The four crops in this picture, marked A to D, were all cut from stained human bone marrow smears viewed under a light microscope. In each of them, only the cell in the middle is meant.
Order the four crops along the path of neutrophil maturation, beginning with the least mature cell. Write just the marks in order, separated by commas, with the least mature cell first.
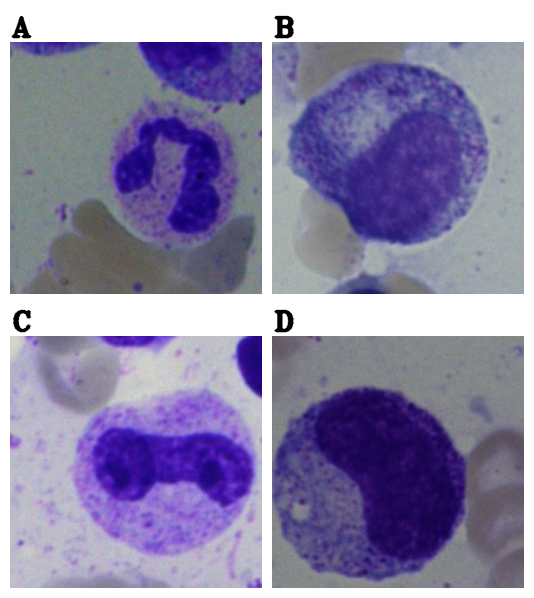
B, D, C, A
